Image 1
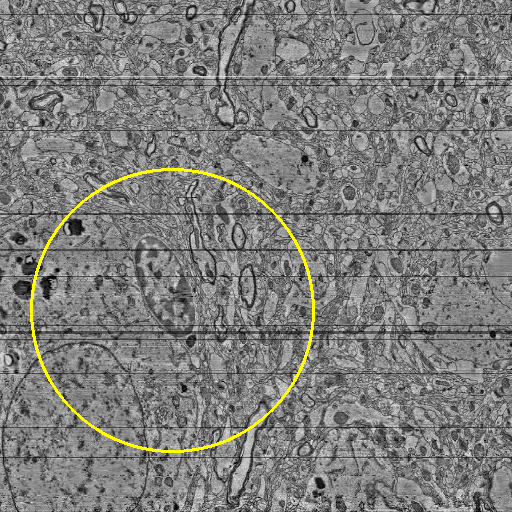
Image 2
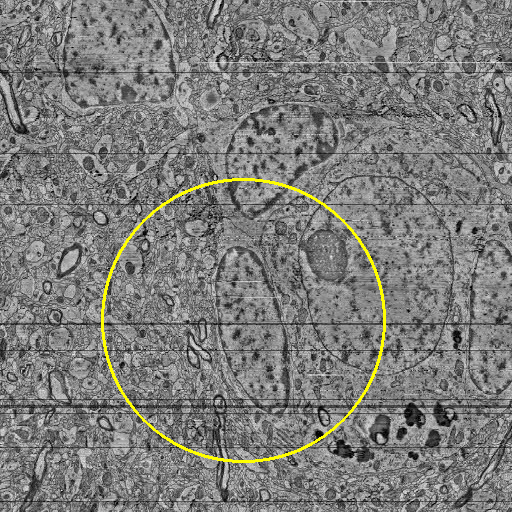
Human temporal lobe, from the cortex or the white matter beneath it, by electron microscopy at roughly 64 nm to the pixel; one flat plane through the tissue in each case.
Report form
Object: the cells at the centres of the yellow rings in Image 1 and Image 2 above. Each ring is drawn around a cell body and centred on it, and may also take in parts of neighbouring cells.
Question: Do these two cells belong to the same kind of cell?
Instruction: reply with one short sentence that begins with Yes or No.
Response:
Yes, both belong to the same kind of cell.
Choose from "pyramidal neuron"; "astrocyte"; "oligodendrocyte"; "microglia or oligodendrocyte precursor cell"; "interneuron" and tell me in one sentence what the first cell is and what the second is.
Each of the ringed cells, first and second, is a microglial cell or oligodendrocyte precursor cell.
